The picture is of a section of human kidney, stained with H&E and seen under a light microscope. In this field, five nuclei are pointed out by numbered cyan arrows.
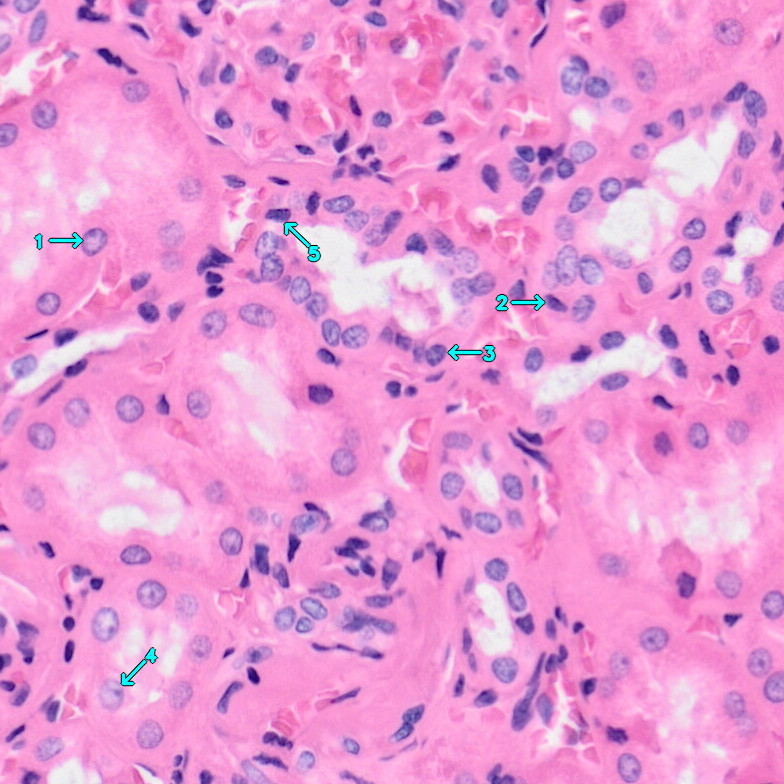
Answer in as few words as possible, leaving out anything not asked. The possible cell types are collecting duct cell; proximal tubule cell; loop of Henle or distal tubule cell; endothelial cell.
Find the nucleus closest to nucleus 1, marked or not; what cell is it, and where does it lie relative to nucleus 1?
an endothelial cell below and to the right of nucleus 1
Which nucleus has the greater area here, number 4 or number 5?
4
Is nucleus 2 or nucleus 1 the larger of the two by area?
1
